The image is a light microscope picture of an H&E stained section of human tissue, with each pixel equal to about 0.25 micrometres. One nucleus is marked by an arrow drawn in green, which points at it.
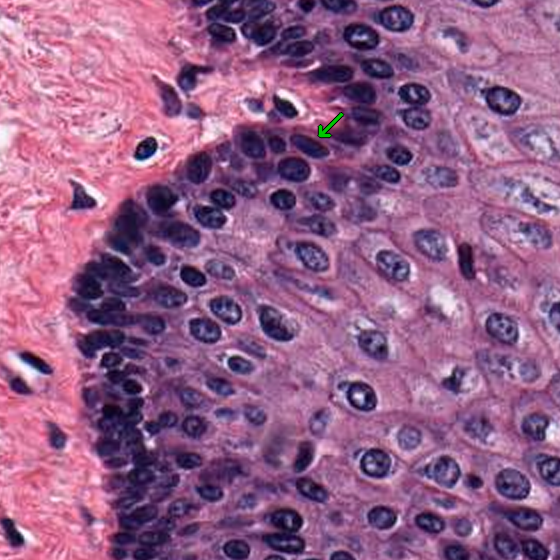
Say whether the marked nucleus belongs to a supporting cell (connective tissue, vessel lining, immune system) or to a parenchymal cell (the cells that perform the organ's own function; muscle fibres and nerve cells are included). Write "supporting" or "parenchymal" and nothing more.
parenchymal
